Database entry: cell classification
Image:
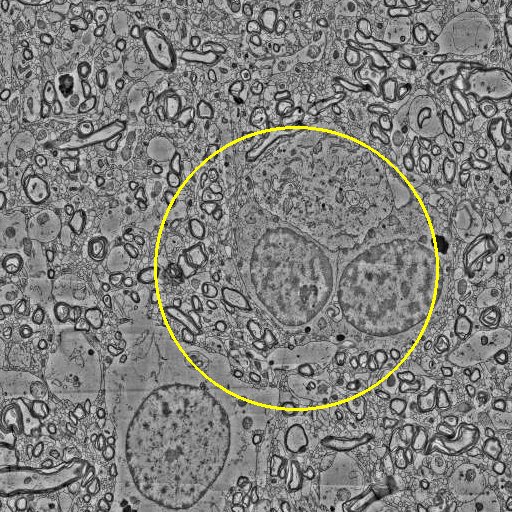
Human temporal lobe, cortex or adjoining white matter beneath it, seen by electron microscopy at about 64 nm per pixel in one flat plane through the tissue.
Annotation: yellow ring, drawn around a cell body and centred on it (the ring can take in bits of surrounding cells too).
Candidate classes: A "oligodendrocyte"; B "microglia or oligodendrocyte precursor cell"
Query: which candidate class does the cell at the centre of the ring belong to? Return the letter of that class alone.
A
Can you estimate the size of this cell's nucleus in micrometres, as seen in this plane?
Roughly 6 by 5 micrometres in this plane, for the nucleus of the ringed cell.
